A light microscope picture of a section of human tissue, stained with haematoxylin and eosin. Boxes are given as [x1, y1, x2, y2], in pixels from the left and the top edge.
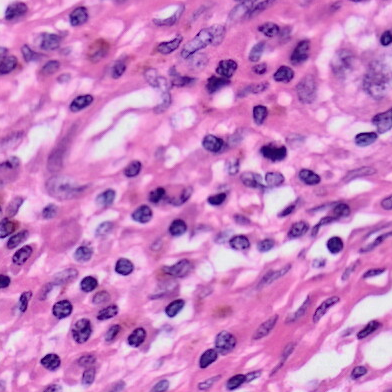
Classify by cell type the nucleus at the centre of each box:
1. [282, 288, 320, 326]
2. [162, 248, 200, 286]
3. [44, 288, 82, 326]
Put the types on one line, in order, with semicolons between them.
fibroblast or myofibroblast; macrophage or monocyte; plasma cell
